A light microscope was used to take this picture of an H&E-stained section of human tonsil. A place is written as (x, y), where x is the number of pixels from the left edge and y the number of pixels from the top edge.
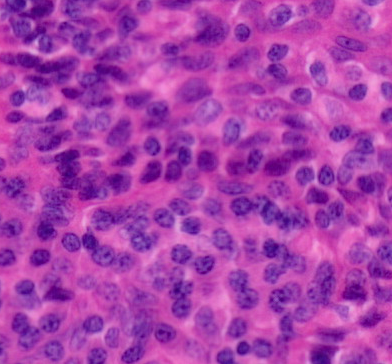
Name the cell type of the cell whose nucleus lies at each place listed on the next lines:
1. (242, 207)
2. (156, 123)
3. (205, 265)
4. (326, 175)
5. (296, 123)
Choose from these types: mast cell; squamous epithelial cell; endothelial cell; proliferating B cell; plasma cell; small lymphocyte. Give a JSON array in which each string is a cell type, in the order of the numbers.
["plasma cell", "squamous epithelial cell", "plasma cell", "plasma cell", "squamous epithelial cell"]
